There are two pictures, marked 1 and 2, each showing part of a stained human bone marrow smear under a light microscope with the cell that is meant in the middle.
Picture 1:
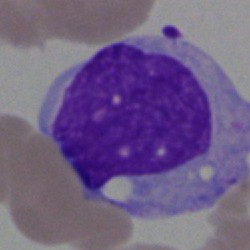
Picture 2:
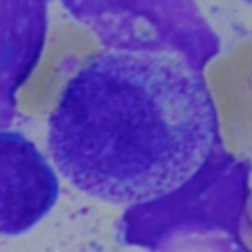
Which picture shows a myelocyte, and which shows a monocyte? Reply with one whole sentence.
In picture 1 the cell is a monocyte; in picture 2, a myelocyte.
